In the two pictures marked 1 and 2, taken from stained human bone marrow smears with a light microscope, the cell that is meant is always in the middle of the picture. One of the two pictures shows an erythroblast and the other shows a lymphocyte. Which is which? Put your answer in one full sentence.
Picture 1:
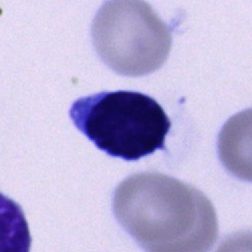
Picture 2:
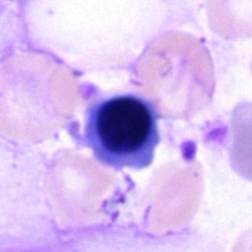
In picture 1 the cell is a lymphocyte; in picture 2, an erythroblast.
